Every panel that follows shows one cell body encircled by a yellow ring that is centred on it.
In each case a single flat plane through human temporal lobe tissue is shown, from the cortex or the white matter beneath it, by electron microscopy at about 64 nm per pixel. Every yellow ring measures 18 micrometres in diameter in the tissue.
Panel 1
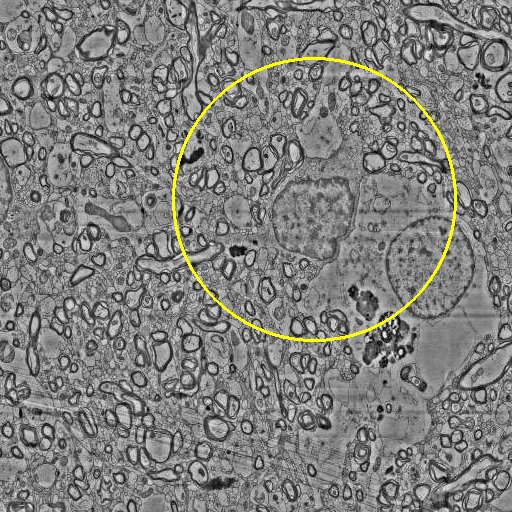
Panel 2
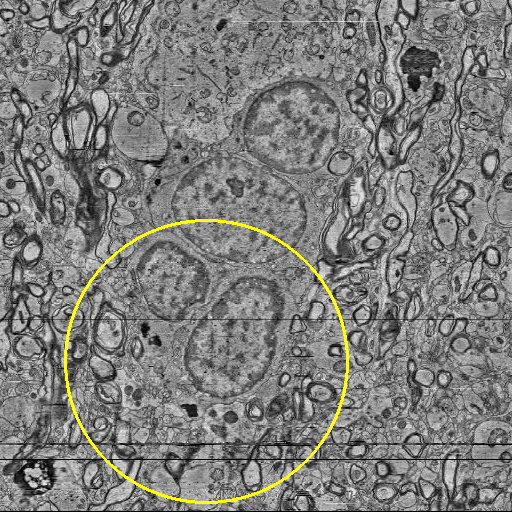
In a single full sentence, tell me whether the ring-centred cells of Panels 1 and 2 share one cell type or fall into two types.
In Panel 1 and Panel 2, the cells at the ring centres share one cell type.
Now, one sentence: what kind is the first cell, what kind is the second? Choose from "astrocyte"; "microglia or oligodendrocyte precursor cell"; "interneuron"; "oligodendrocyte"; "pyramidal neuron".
Both the first and the second picture show an oligodendrocyte in the ring.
